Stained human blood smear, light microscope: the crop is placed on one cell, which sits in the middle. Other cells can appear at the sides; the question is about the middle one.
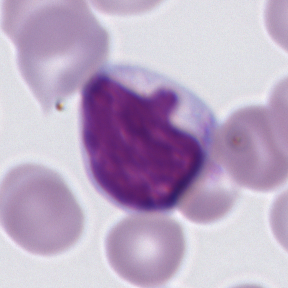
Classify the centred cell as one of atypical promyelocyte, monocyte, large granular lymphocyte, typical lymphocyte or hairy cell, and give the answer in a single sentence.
The cell at the middle of the crop is recognized as a large granular lymphocyte.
